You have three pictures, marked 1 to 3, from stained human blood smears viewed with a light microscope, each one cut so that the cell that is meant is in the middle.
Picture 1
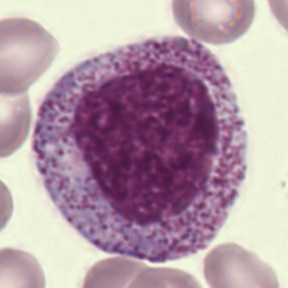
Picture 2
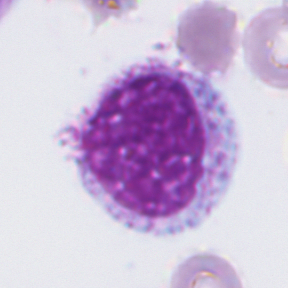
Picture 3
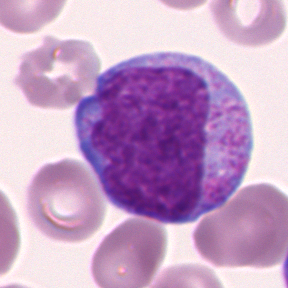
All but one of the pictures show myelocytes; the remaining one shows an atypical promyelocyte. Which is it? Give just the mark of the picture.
3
